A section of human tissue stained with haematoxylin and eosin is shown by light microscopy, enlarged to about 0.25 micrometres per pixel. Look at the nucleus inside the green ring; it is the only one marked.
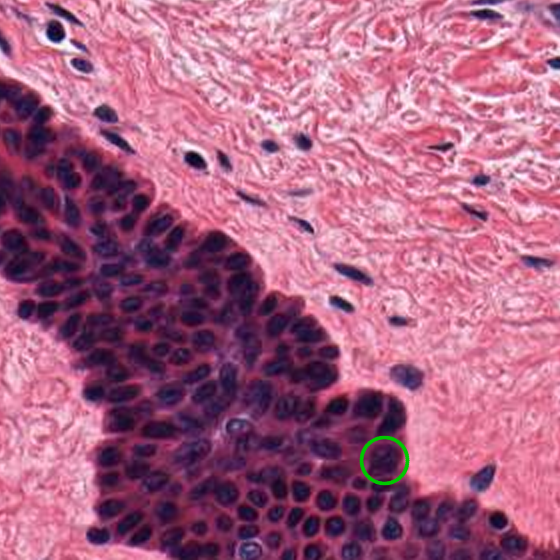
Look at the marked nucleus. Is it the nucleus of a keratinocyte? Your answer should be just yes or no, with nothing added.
yes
